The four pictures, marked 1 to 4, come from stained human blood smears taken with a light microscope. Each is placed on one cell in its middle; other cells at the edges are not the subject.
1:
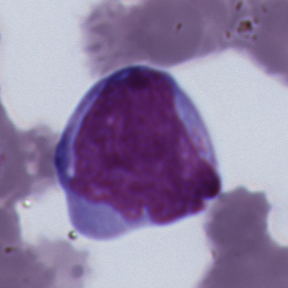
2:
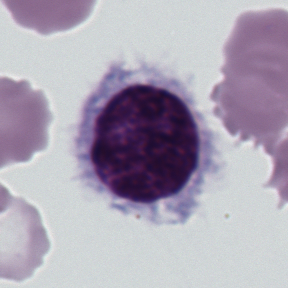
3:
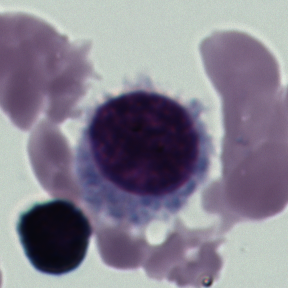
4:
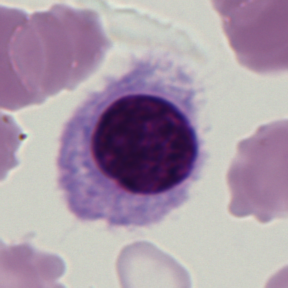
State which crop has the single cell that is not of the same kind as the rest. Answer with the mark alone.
1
